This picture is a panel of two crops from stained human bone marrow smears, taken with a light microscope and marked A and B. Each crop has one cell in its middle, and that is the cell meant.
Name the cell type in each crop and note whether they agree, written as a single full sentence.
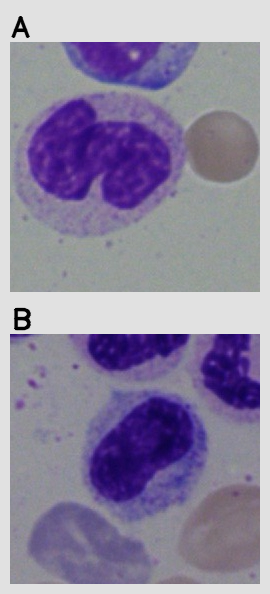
No, a band neutrophil is what crop A shows, and a metamyelocyte is what crop B shows.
